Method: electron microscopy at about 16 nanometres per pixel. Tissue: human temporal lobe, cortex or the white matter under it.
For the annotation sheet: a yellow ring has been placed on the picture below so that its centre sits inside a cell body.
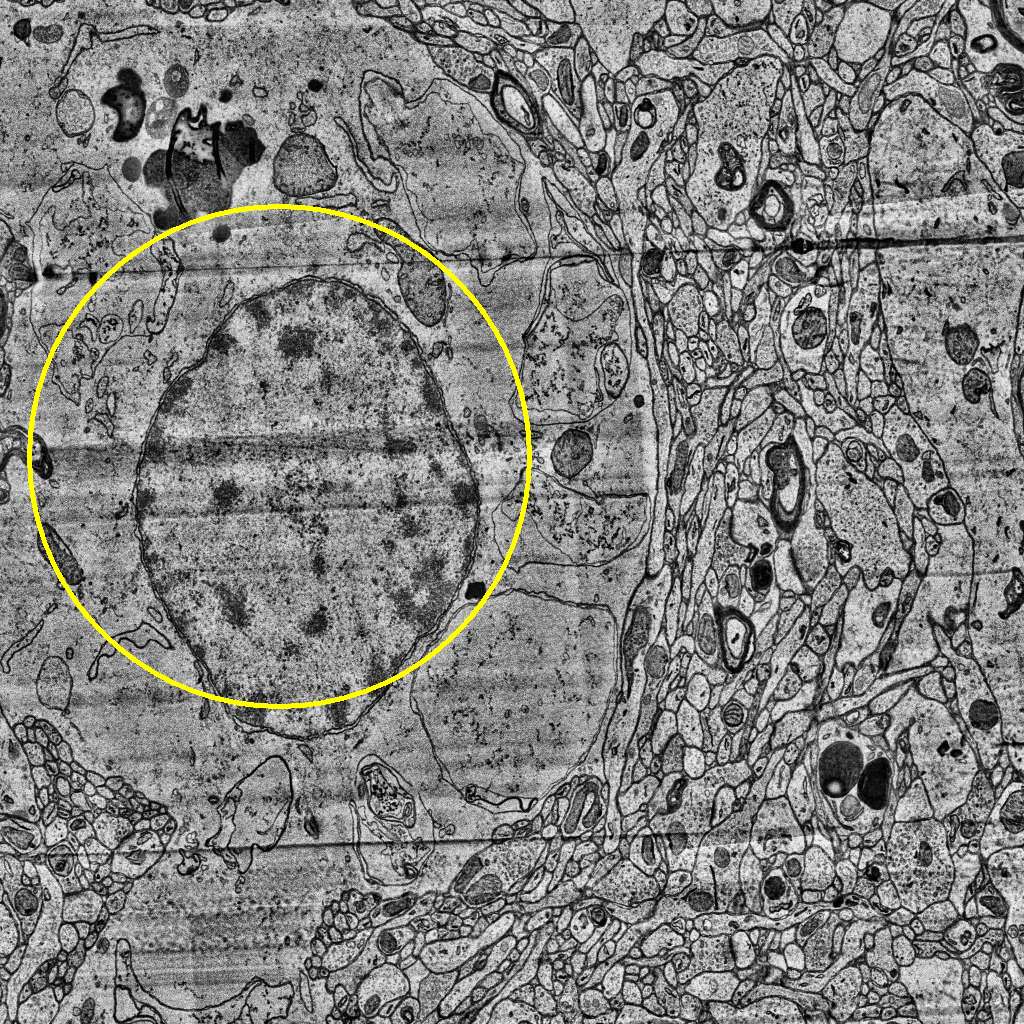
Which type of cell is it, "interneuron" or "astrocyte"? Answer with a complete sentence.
The cell at the ring's centre is an astrocyte.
